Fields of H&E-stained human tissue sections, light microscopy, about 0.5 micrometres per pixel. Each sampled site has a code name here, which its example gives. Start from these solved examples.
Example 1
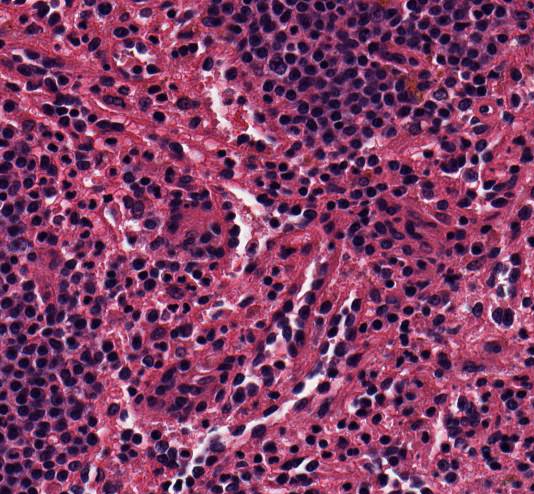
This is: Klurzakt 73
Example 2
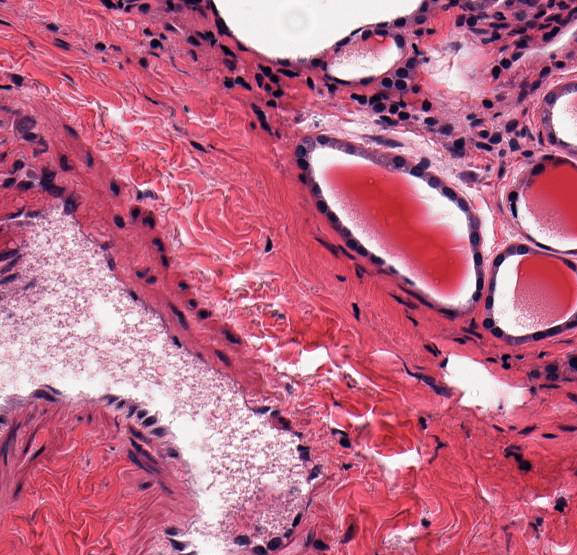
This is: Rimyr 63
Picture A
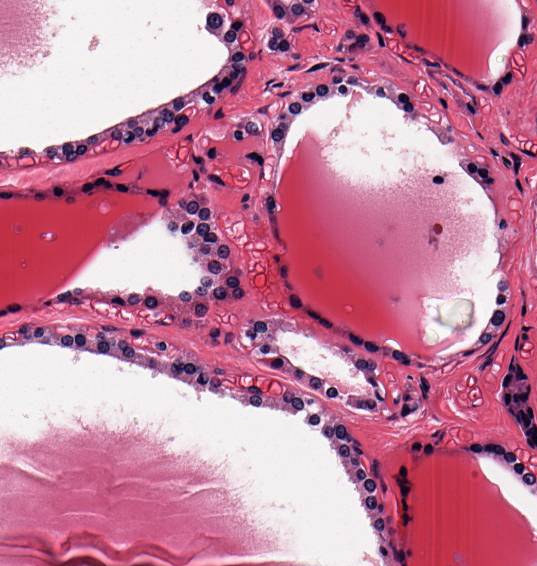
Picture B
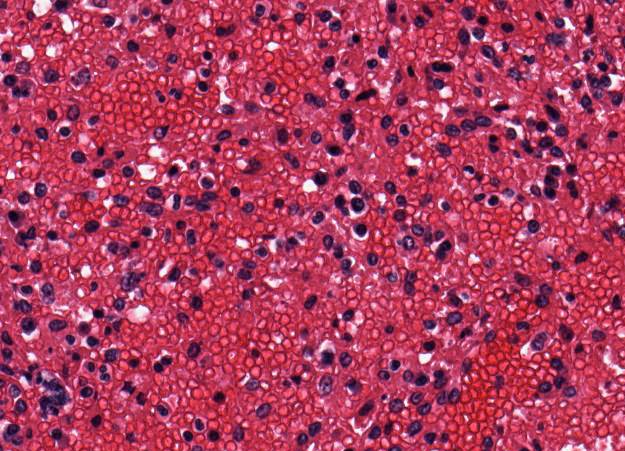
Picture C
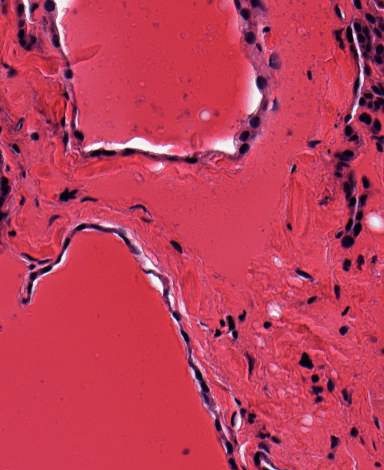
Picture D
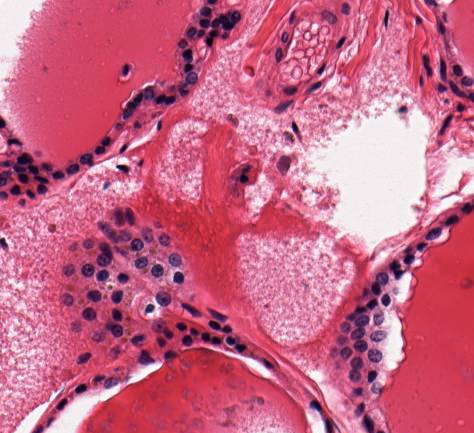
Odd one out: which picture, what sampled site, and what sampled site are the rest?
Odd one out: B (Klurzakt 73). The rest: Rimyr 63.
